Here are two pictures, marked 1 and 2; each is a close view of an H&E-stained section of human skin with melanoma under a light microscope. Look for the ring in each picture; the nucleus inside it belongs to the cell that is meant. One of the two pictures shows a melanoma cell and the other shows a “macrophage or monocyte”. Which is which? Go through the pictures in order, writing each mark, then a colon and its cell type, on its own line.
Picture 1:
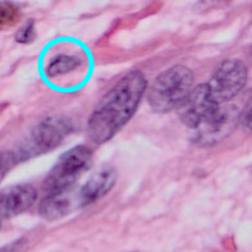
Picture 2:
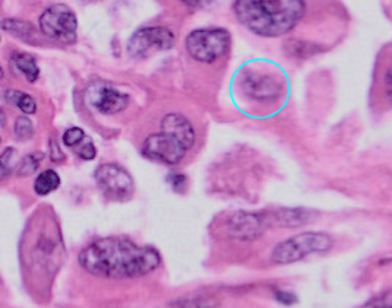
1: macrophage or monocyte
2: melanoma cell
